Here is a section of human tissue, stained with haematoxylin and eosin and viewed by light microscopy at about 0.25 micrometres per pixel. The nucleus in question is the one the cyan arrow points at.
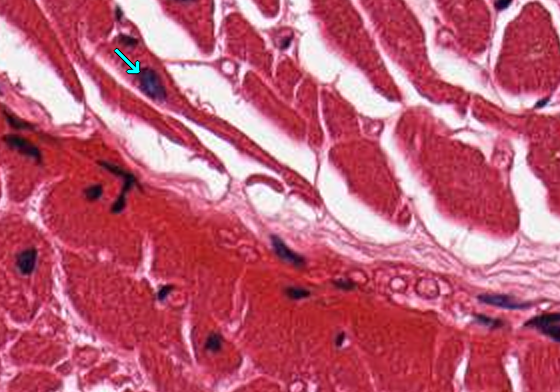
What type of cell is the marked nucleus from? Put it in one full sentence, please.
The marked nucleus is that of a cardiomyocyte in this section.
